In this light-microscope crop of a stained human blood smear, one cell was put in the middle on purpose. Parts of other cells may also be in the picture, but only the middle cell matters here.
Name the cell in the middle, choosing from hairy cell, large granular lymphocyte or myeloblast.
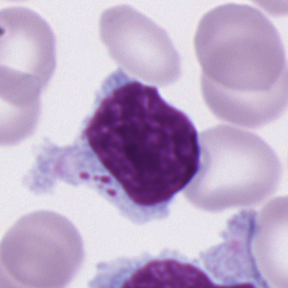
large granular lymphocyte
